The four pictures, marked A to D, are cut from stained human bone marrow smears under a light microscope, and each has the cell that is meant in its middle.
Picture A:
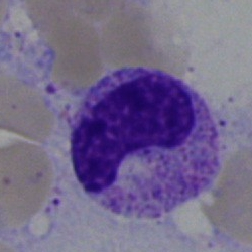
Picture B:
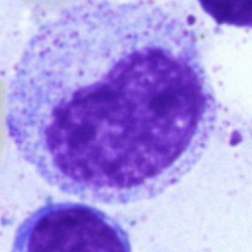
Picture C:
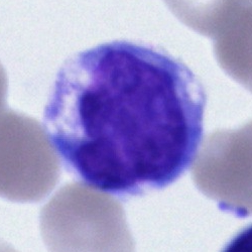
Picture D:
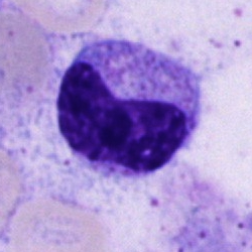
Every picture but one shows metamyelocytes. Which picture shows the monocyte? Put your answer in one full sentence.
The monocyte is the one in picture C.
